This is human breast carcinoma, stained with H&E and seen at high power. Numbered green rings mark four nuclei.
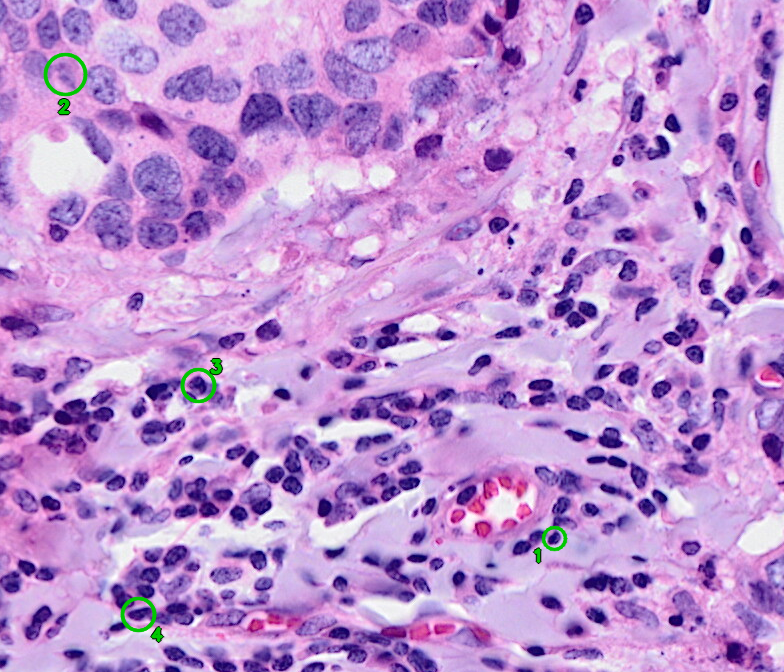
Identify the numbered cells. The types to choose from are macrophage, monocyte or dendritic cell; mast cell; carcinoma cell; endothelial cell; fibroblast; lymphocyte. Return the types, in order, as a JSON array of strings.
["lymphocyte", "carcinoma cell", "lymphocyte", "lymphocyte"]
